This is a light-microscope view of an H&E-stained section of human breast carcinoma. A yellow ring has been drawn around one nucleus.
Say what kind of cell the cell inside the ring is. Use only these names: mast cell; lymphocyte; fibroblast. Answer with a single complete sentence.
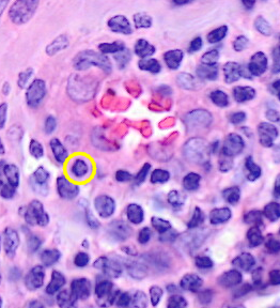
The identity of the cell inside the ring: it is a lymphocyte.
